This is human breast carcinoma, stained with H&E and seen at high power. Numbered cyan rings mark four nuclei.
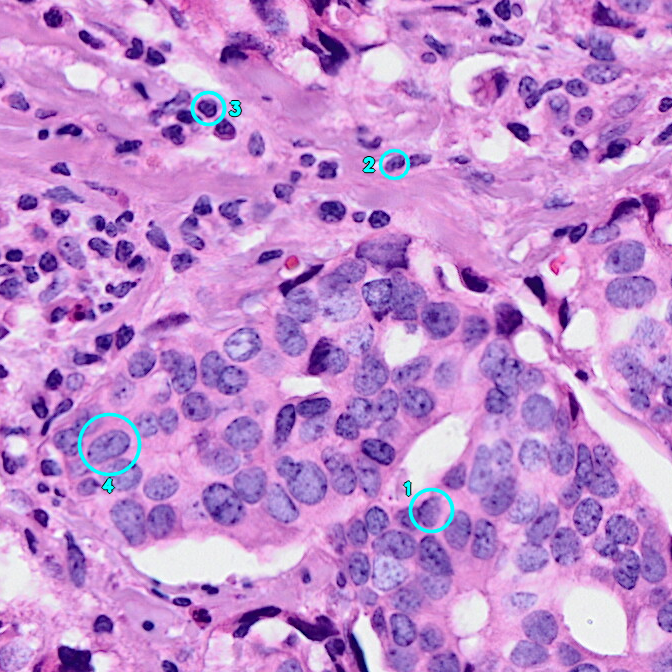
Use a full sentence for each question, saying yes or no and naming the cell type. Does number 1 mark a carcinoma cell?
Yes, to put it simply, cell number 1 is a carcinoma cell.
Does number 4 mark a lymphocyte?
No, what is marked as number 4 is a carcinoma cell rather than a lymphocyte.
